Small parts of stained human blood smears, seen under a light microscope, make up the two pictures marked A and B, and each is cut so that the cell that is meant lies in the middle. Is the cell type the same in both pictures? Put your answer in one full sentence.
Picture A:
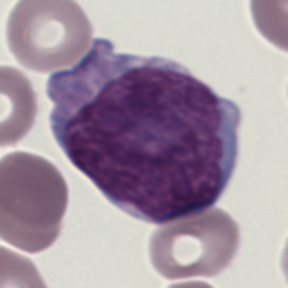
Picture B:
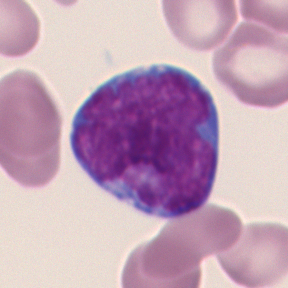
No; the cell in picture A is a promyelocyte, while the one in picture B is a myeloblast.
